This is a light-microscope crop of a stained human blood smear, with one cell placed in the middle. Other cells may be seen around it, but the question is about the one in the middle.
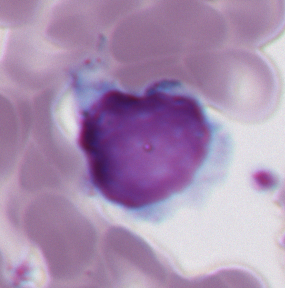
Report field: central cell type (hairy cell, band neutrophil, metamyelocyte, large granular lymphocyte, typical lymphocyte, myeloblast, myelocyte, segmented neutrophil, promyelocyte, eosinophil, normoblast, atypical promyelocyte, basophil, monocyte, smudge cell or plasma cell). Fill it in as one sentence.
The target cell in the middle of the crop is a typical lymphocyte.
